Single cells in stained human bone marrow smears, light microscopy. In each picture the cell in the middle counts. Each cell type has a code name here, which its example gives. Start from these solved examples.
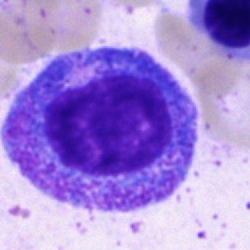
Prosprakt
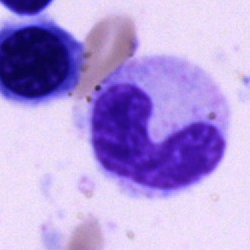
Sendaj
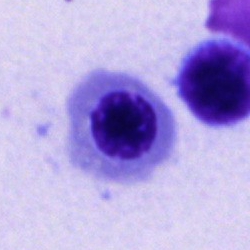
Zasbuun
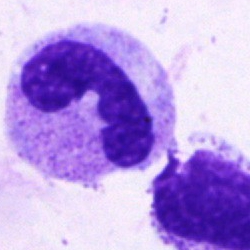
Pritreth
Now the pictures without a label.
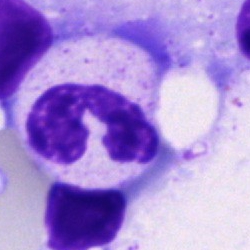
Pritreth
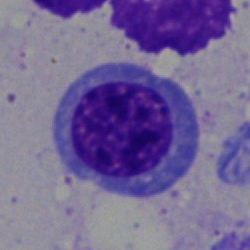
Zasbuun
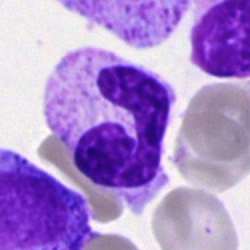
Pritreth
